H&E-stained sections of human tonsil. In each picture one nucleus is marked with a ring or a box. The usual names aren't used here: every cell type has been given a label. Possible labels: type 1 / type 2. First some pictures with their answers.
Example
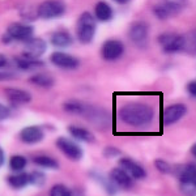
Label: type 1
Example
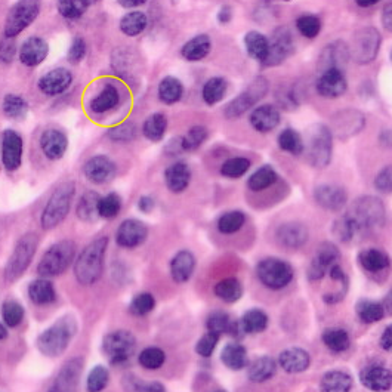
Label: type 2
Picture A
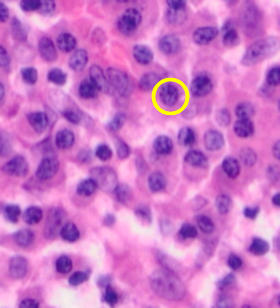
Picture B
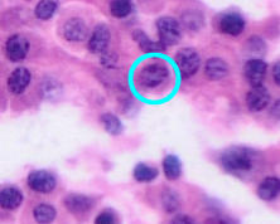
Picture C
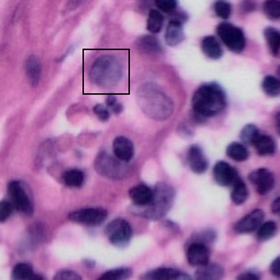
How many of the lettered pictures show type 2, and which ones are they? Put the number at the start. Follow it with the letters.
2, namely A, B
